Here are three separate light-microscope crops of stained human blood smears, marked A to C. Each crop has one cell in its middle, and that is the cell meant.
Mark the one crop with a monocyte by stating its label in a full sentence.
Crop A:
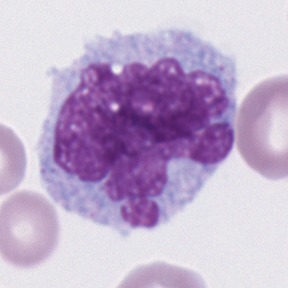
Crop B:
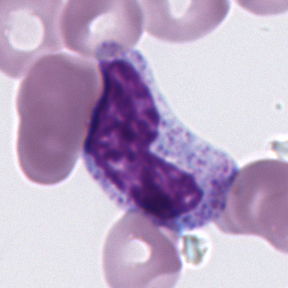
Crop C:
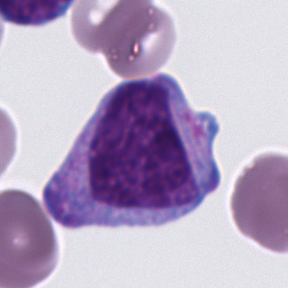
Selected crop: A, which is the one that shows a monocyte.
